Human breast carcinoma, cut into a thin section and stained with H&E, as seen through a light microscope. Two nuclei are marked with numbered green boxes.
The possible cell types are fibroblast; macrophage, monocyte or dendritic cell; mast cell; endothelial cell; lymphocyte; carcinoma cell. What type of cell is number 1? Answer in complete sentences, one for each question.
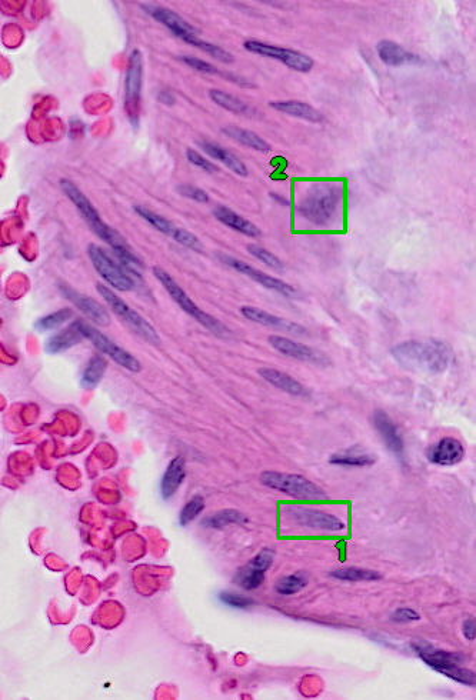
Identified as an endothelial cell is the cell bearing the number 1.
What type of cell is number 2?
In this section, number 2 marks a fibroblast.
